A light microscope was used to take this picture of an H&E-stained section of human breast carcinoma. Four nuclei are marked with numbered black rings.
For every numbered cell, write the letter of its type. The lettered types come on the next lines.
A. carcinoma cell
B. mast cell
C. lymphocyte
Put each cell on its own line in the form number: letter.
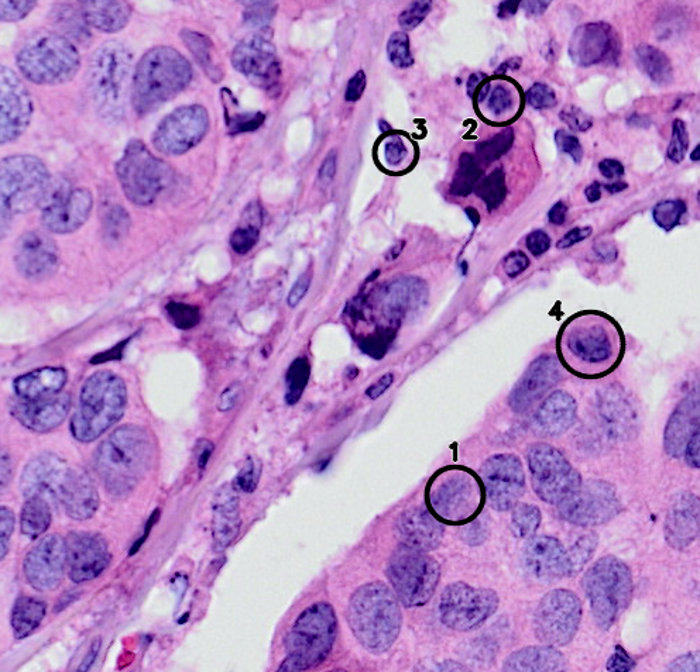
1: A
2: C
3: C
4: A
